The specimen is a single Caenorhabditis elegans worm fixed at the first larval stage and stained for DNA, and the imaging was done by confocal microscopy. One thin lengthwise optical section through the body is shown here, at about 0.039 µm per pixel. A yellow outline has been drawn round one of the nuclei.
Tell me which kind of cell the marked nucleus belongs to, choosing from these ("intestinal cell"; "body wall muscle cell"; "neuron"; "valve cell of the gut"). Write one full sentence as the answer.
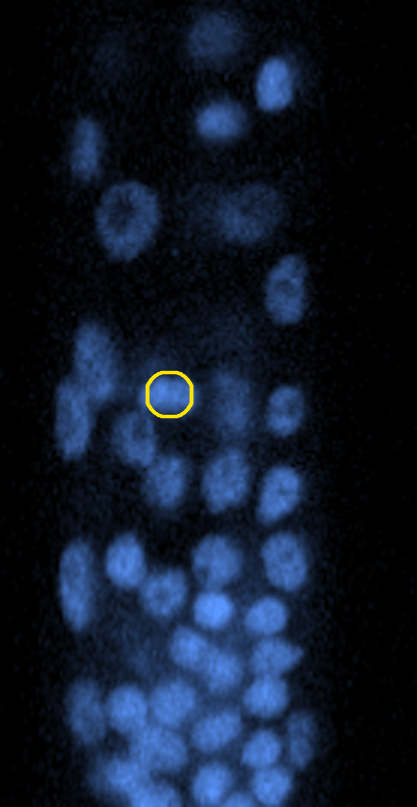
The nucleus comes from a valve cell of the gut.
